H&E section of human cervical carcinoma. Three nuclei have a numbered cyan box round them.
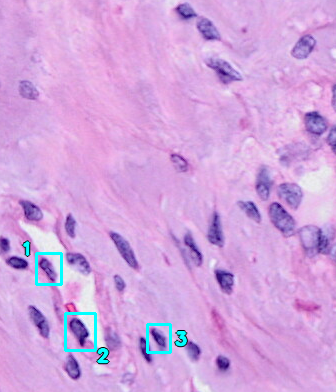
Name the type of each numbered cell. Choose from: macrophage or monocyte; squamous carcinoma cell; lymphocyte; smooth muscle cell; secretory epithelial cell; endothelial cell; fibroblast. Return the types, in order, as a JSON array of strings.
["endothelial cell", "endothelial cell", "fibroblast"]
